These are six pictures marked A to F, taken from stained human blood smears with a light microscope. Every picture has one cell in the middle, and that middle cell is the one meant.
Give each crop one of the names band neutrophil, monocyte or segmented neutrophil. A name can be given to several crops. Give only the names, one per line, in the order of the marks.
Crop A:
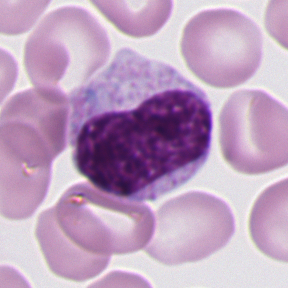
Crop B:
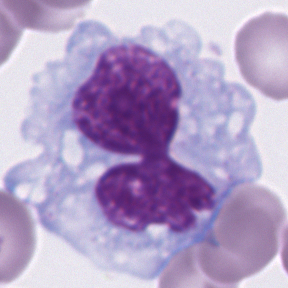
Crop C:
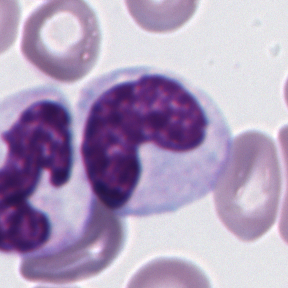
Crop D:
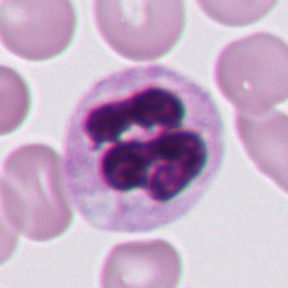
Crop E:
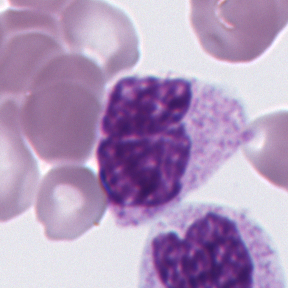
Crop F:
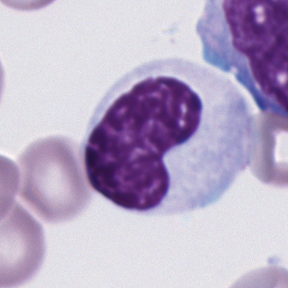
band neutrophil
monocyte
band neutrophil
segmented neutrophil
segmented neutrophil
band neutrophil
